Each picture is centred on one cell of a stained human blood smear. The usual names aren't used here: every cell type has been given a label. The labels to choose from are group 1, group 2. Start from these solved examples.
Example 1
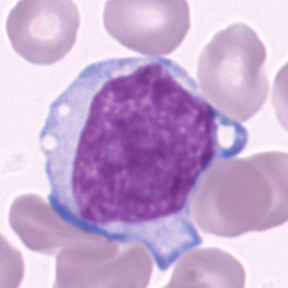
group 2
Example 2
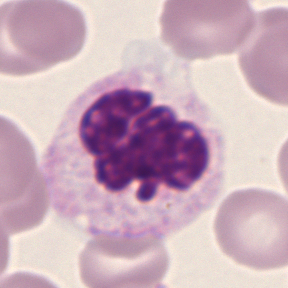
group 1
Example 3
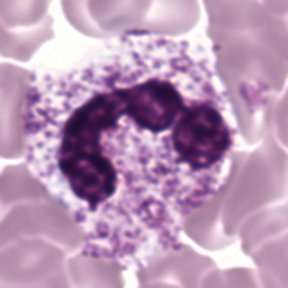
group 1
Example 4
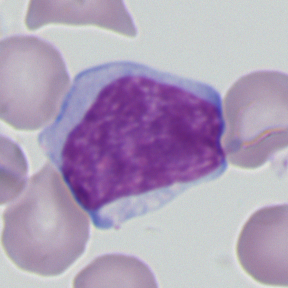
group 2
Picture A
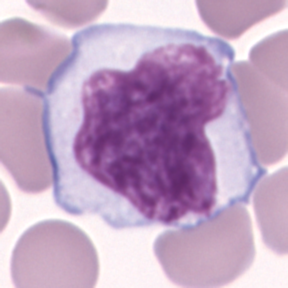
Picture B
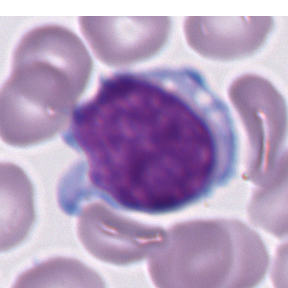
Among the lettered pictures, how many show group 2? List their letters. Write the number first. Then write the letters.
Count: 2 (A, B)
